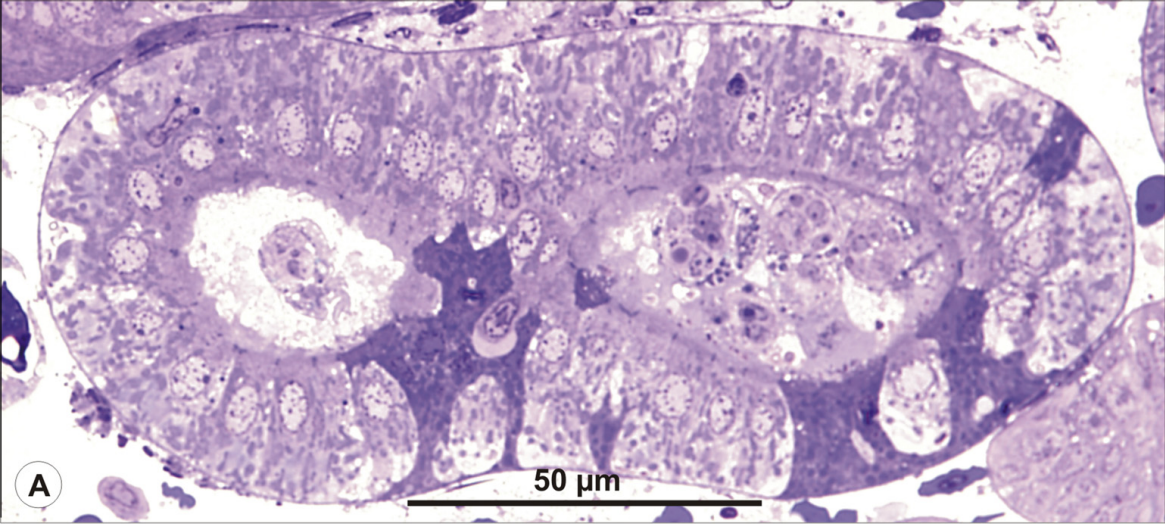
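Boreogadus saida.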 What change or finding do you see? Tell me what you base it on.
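Several cells within the epithelial lining are stained much darker purple than their neighbours. The dark cells have irregular, branching outlines reaching between the paler columnar cells. On this evidence: densely stained cells in its epithelial lining.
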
